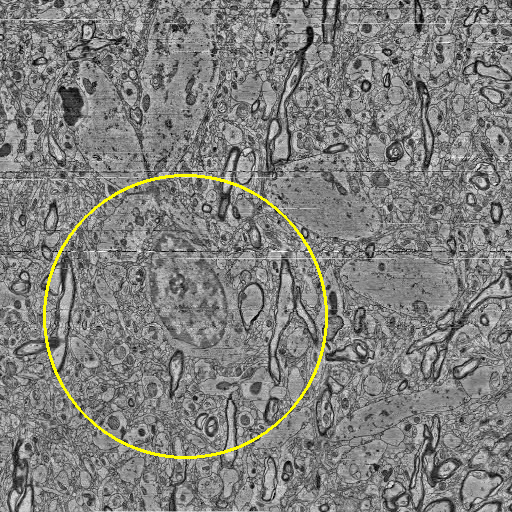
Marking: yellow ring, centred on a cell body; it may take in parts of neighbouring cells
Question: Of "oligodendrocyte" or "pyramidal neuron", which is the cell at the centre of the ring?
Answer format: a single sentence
The ring surrounds the body of an oligodendrocyte.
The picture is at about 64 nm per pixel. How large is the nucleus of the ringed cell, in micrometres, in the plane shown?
In this plane, about 8 by 5 micrometres: the nucleus is clearly longer than it is wide.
